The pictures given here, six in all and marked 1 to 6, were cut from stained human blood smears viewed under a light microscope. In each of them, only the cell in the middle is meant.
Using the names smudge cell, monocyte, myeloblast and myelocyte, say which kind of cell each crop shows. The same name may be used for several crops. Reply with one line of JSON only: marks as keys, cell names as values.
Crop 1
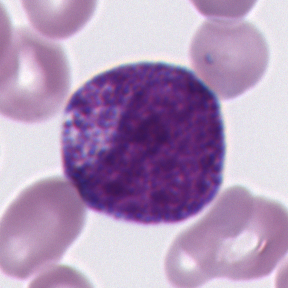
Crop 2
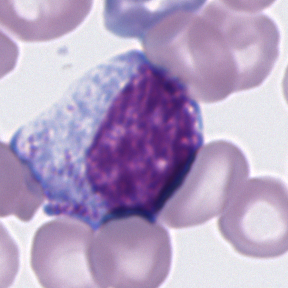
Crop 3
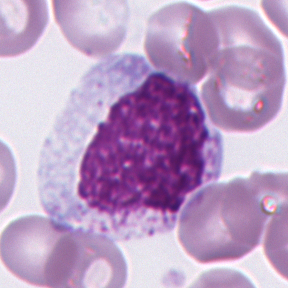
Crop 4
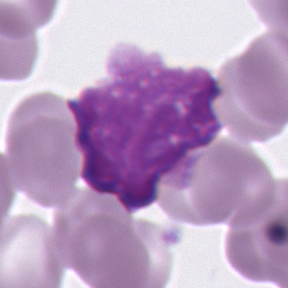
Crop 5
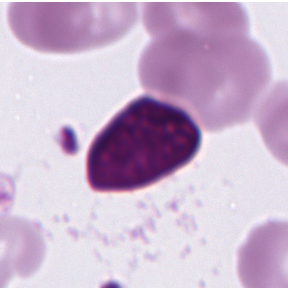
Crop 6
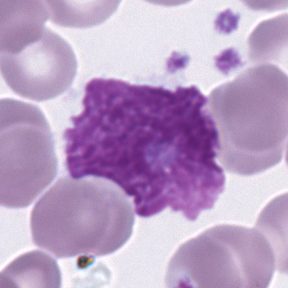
{"1": "myelocyte", "2": "myelocyte", "3": "myelocyte", "4": "smudge cell", "5": "smudge cell", "6": "smudge cell"}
